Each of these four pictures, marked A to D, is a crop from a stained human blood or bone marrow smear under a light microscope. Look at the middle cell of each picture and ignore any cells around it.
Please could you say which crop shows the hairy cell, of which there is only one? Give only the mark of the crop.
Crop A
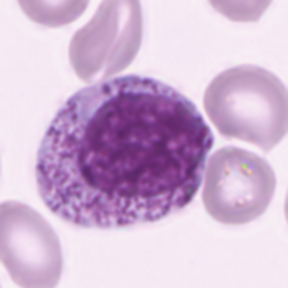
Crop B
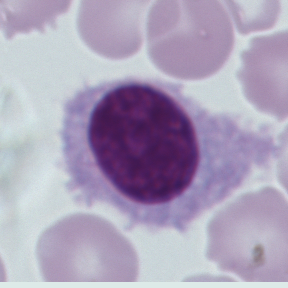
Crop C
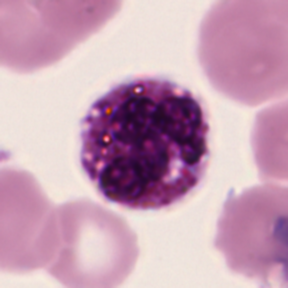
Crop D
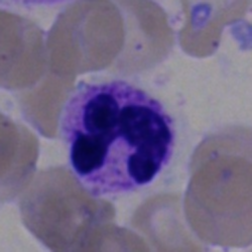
B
